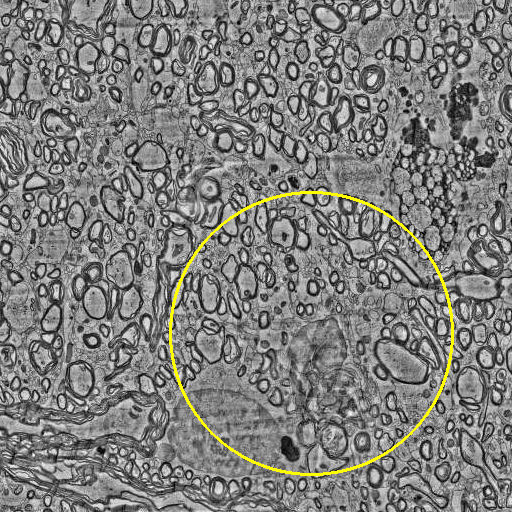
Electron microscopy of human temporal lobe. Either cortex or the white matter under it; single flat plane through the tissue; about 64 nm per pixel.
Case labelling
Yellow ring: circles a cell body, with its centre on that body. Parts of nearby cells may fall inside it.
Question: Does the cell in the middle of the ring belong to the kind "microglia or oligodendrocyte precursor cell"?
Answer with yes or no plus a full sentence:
Yes, in this picture the cell in the middle of the yellow ring belongs to that kind.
